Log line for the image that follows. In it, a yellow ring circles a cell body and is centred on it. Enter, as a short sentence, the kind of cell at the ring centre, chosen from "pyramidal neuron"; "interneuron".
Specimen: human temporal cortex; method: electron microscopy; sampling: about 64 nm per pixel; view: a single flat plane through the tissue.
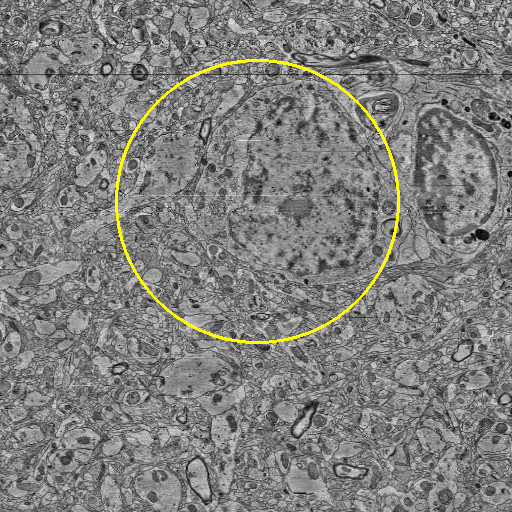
The ring centre is occupied by an interneuron.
